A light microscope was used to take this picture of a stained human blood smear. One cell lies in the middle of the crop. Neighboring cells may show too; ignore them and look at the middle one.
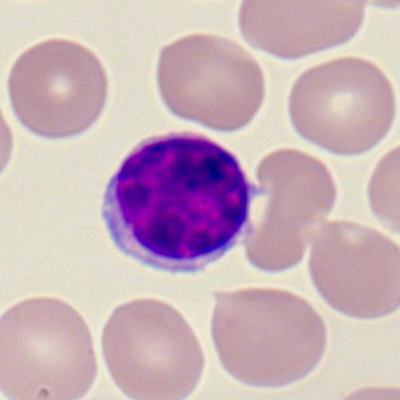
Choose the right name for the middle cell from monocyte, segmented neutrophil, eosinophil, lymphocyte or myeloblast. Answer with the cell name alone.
lymphocyte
